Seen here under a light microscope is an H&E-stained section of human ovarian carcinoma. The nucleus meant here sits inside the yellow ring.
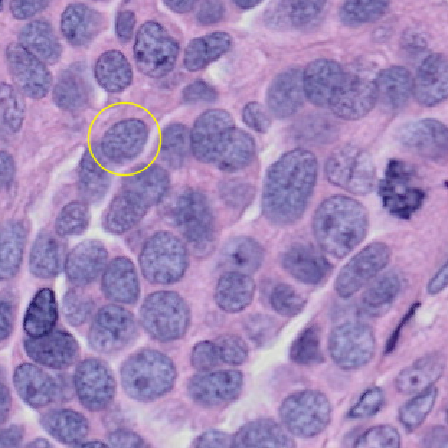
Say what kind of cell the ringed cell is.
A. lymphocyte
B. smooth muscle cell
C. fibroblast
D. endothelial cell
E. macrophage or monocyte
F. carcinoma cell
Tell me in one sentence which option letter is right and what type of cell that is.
Option F is right in classifying the ringed cell as a carcinoma cell.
